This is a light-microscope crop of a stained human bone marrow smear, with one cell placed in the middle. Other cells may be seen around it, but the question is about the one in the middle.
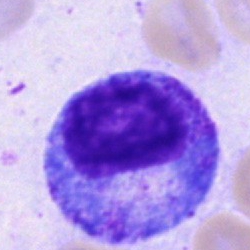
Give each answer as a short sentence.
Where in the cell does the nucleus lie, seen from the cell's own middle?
The nucleus lies toward the top of the cell.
